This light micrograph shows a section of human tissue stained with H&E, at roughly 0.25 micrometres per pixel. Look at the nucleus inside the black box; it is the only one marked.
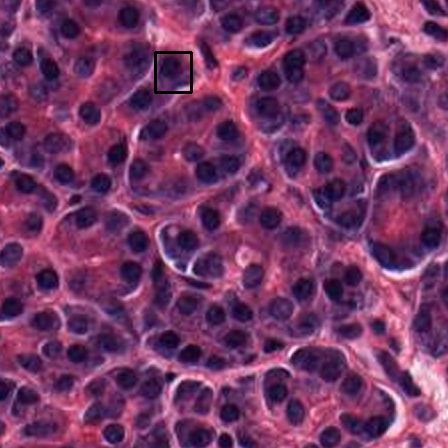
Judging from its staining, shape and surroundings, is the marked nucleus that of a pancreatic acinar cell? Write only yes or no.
yes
